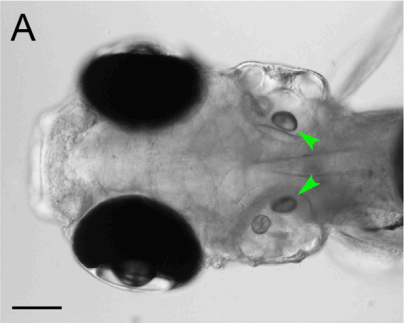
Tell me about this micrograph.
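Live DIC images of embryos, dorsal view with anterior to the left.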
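Inside each ear lie two dense, dark, refractile stones; the arrowheads mark the posterior, more medial one in each ear, the saccular otoliths. The brain and hindbrain occupy the midline between the ears, and the body continues to the right.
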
